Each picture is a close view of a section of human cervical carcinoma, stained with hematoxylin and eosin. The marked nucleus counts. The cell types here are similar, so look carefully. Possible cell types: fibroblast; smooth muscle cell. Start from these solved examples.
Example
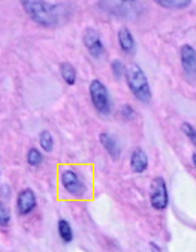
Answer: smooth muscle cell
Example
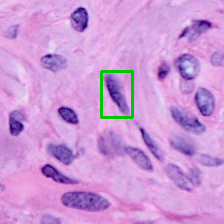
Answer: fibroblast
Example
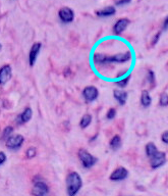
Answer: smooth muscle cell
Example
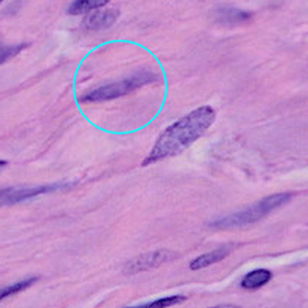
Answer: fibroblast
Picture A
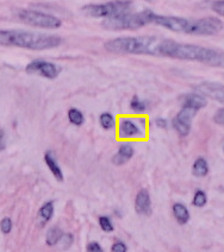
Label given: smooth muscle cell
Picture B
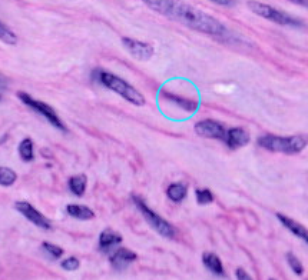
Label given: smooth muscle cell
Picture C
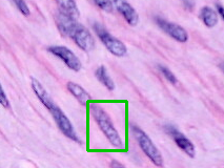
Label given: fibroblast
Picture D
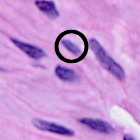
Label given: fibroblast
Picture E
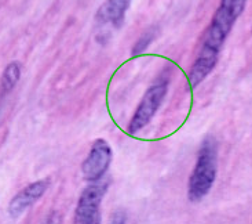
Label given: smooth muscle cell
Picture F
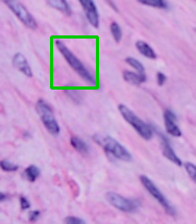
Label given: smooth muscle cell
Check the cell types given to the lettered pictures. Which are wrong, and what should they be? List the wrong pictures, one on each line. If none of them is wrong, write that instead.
C: change fibroblast to smooth muscle cell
